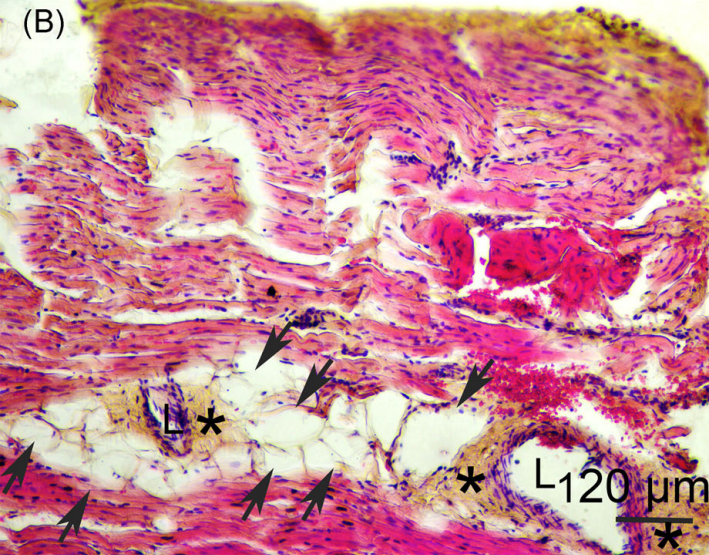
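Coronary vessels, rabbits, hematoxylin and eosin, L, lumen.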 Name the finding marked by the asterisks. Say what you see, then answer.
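A broad yellowish fibrous layer surrounds the vessel walls. The yellowish layer is wider than the vessel wall itself.
Thickening of the adventitia.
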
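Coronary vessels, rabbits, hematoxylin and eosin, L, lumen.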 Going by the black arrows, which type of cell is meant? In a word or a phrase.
Adipocytes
